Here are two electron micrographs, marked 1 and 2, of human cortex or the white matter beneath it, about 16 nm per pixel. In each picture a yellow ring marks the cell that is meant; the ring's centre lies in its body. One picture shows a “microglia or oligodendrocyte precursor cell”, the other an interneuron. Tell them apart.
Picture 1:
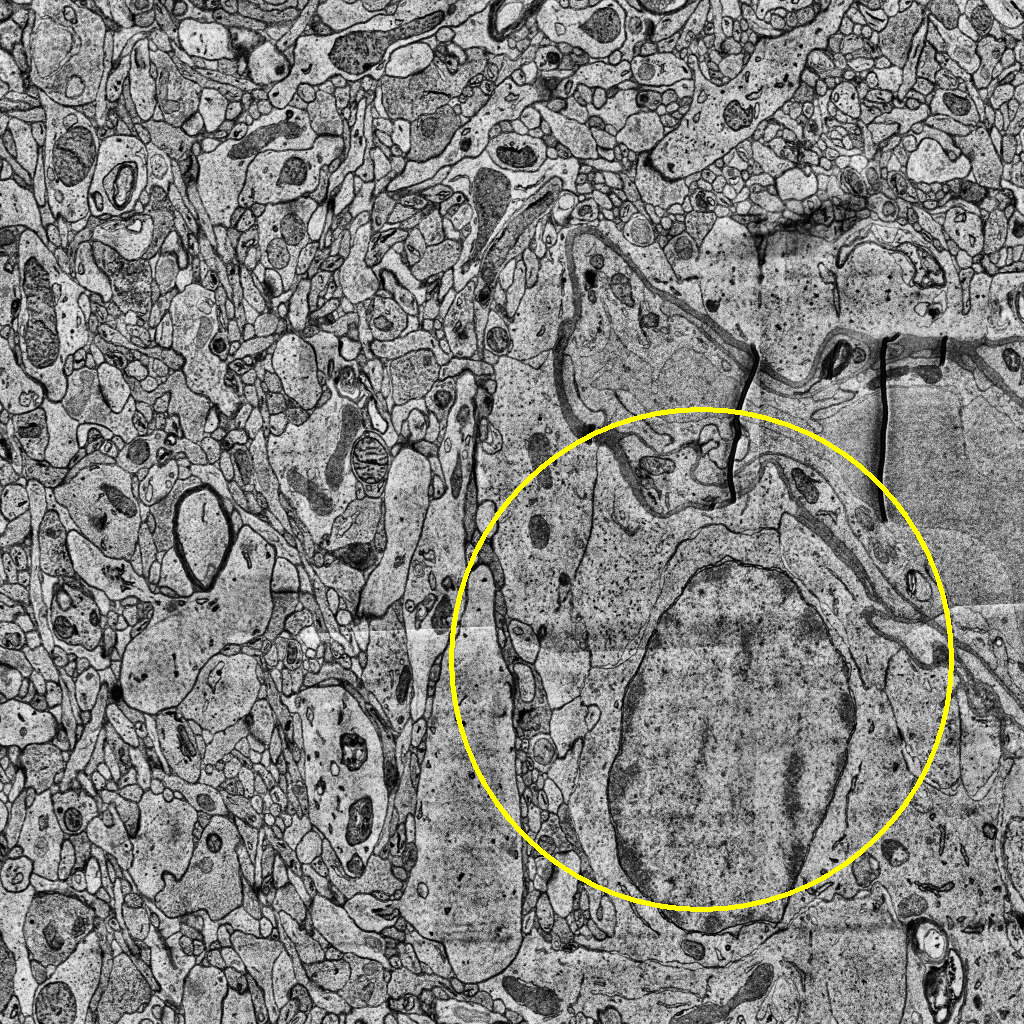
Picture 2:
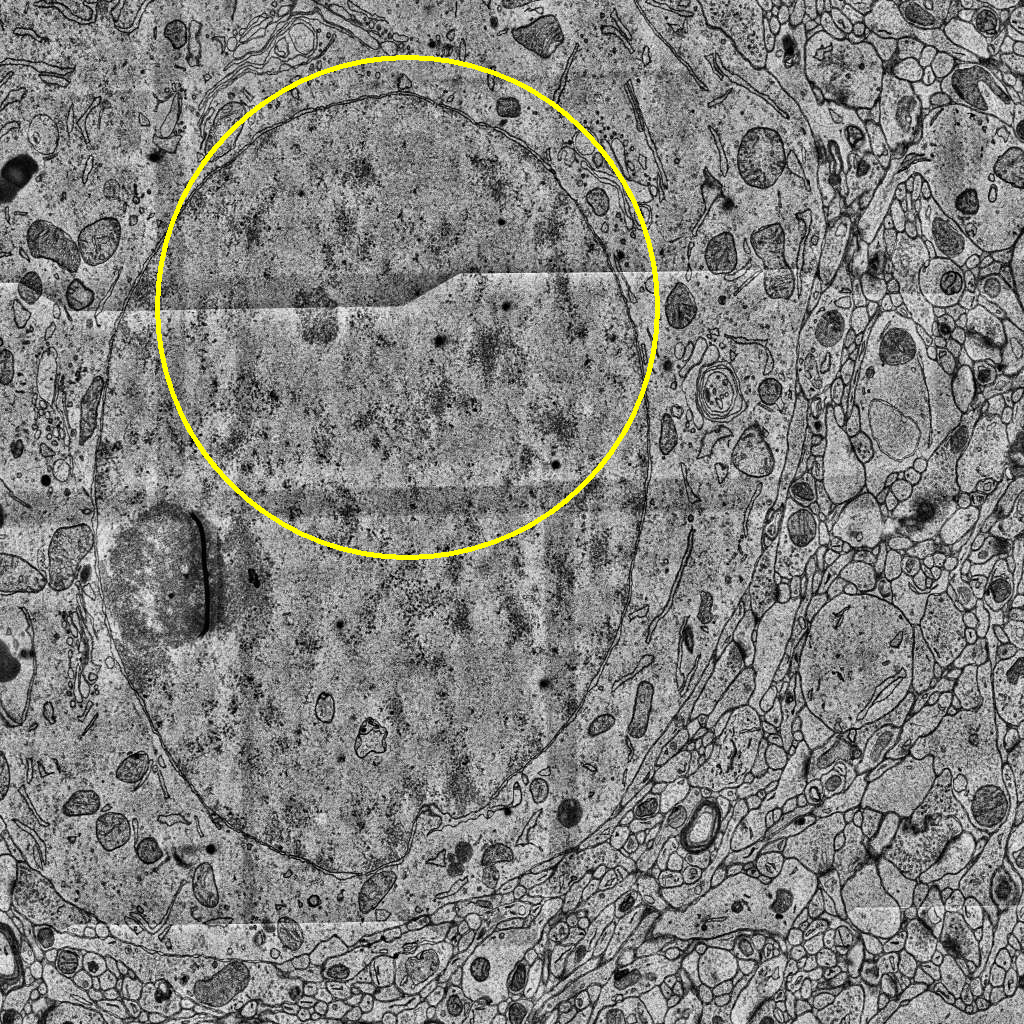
In picture 1 the cell is a “microglia or oligodendrocyte precursor cell”; in picture 2, an interneuron.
